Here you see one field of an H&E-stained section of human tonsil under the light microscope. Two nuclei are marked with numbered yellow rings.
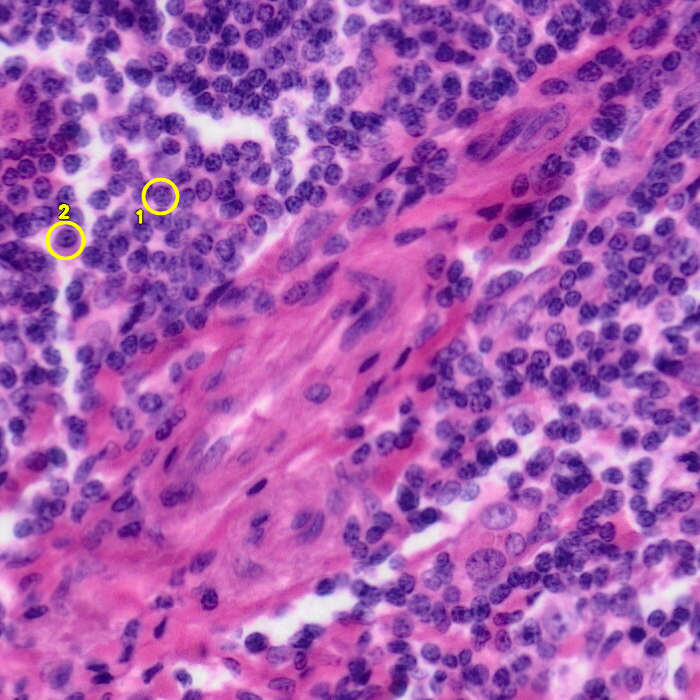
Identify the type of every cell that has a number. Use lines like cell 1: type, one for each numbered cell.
cell 1: small lymphocyte
cell 2: plasma cell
